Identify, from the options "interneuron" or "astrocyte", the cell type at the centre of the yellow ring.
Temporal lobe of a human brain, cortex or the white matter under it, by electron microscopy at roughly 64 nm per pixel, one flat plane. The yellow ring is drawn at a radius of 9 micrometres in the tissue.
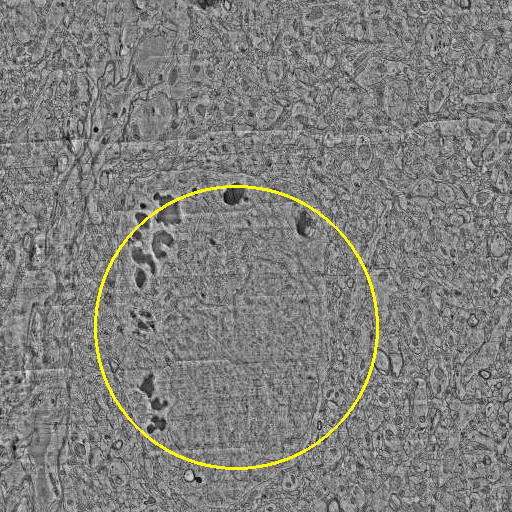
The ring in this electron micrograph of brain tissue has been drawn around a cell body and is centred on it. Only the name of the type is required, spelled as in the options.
interneuron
